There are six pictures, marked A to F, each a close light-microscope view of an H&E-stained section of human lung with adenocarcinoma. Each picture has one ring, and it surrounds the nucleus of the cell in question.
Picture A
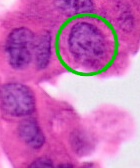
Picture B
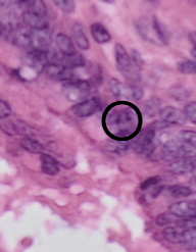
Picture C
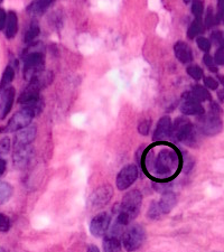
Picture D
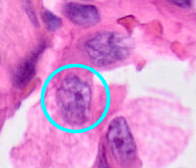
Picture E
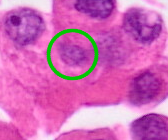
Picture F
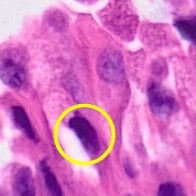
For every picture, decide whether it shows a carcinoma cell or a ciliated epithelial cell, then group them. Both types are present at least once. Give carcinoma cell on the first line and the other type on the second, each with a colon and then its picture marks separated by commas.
carcinoma cell: A, D, E, F
ciliated epithelial cell: B, C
